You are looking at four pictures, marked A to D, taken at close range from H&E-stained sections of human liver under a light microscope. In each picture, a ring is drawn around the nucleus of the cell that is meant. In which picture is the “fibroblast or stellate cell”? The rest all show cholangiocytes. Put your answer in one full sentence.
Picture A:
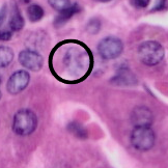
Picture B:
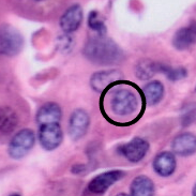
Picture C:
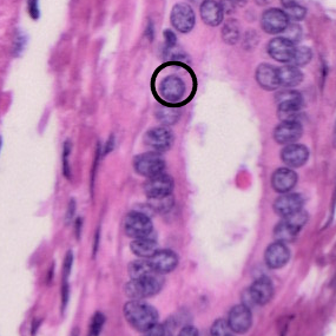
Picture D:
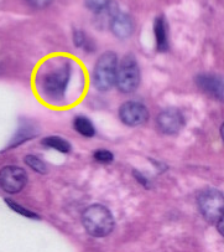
Picture D is the one that shows the “fibroblast or stellate cell”.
